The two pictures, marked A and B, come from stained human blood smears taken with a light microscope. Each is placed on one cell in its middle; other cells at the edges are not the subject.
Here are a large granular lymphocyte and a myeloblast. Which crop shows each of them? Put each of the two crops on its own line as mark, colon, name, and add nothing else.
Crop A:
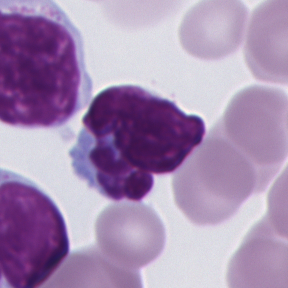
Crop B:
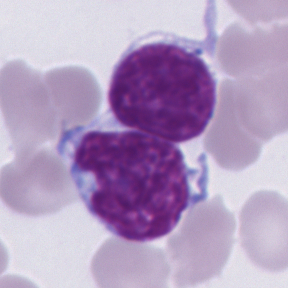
A: large granular lymphocyte
B: myeloblast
